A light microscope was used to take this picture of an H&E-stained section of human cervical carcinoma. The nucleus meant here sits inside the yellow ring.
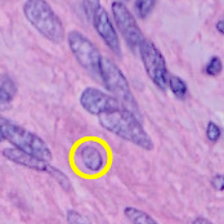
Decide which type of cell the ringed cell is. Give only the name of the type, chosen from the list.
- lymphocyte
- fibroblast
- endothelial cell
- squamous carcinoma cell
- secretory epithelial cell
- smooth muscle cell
smooth muscle cell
